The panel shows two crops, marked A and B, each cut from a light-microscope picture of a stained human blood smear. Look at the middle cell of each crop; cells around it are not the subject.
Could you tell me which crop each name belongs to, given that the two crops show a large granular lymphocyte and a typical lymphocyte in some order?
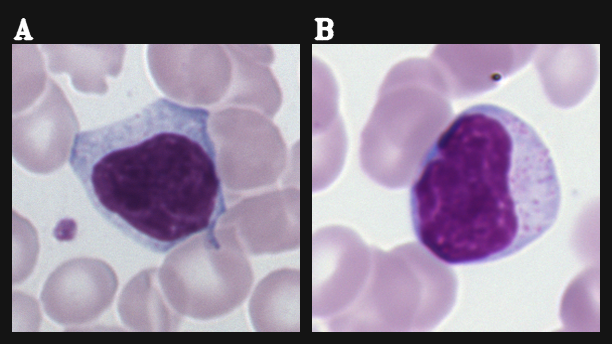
A: typical lymphocyte
B: large granular lymphocyte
